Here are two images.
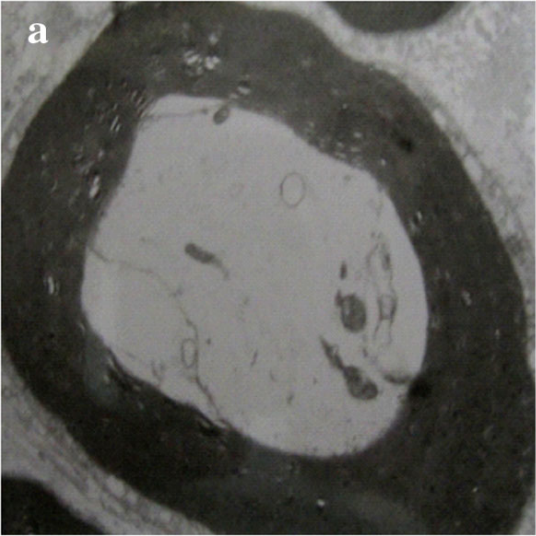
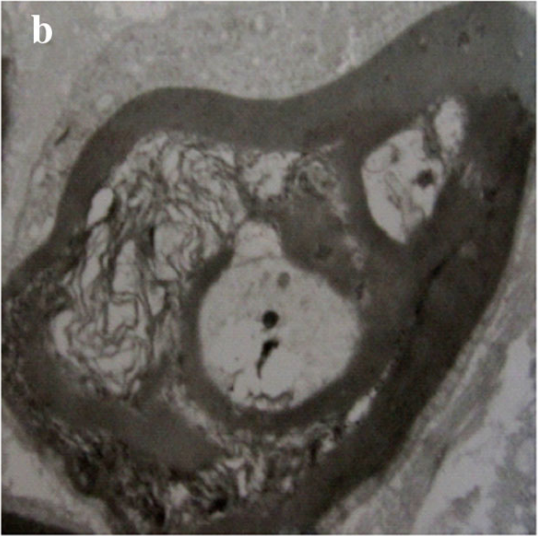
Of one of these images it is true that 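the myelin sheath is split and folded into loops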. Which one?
The second image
